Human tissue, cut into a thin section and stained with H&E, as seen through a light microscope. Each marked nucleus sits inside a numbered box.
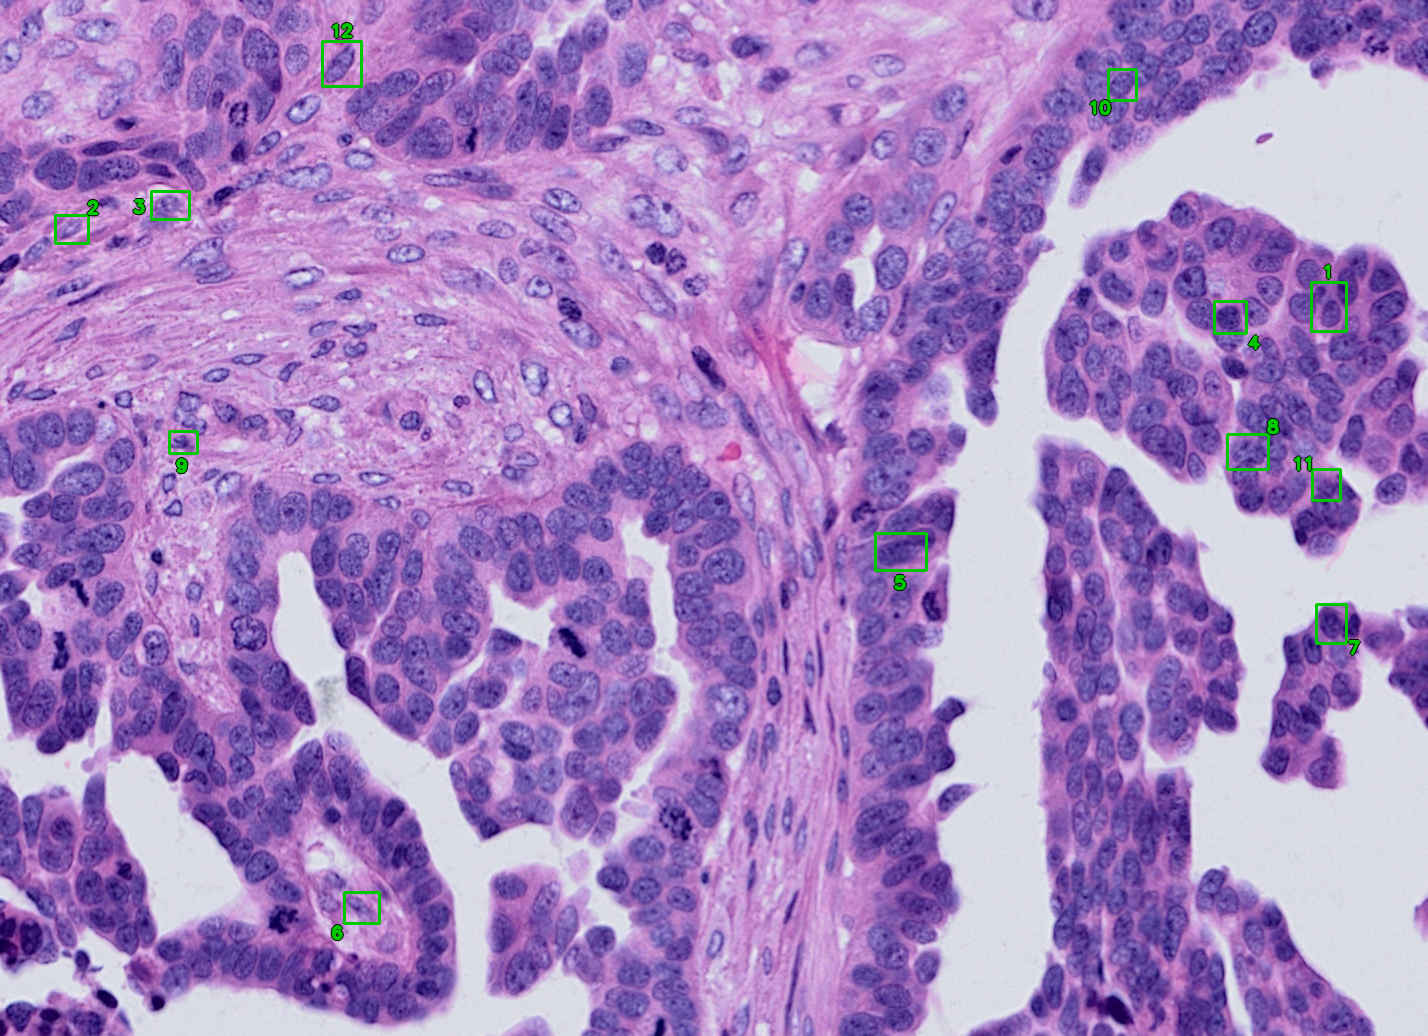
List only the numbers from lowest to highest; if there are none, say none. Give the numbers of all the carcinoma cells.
1, 4, 5, 7, 8, 10, 11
